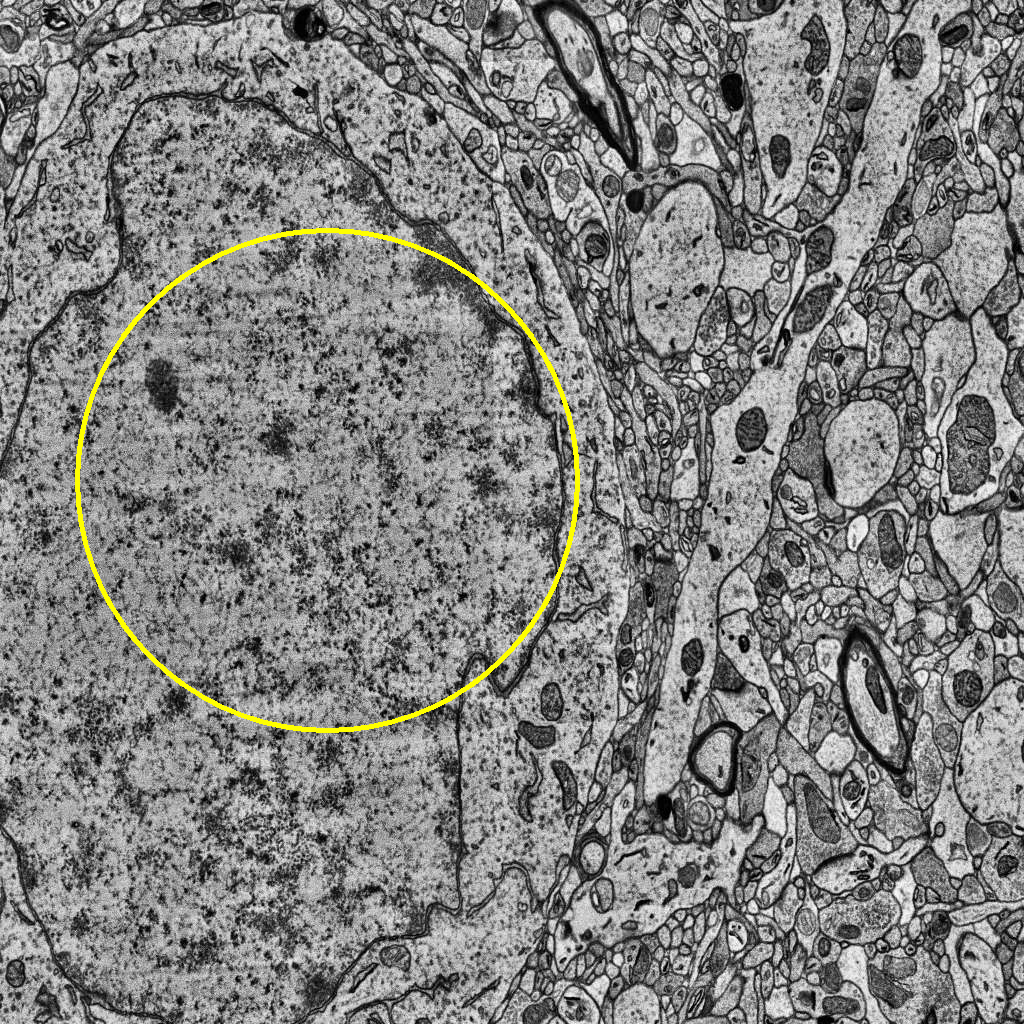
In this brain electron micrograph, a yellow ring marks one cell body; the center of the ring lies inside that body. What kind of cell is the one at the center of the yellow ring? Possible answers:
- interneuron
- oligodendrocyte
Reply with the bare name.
interneuron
